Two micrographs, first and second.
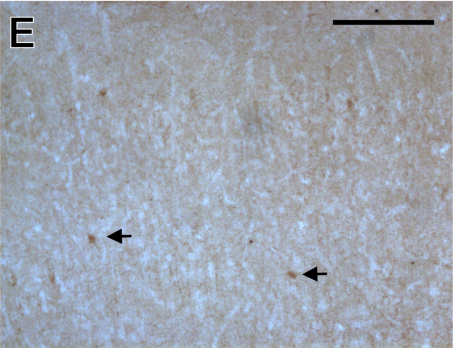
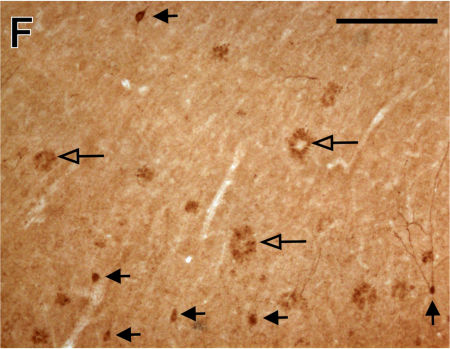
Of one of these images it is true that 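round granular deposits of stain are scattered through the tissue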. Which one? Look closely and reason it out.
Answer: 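Second image: many round patches of clustered brown granules between stained cell bodies. First image: pale background with only a few small stained cell bodies and no such patches.
The second image.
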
